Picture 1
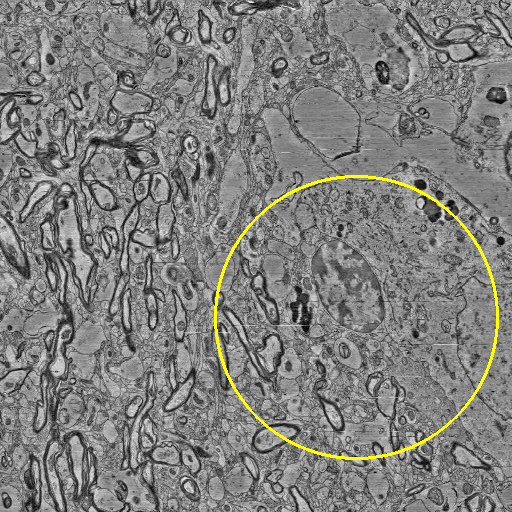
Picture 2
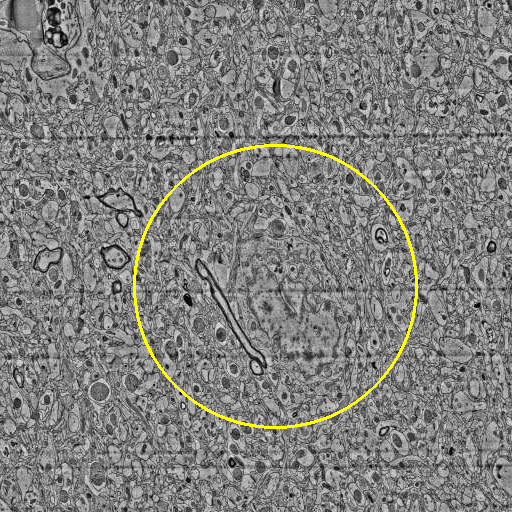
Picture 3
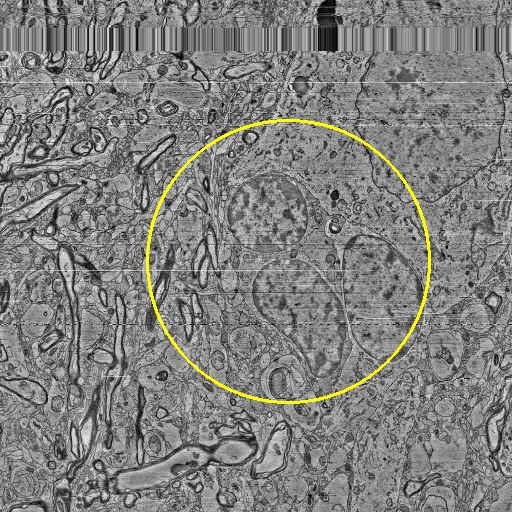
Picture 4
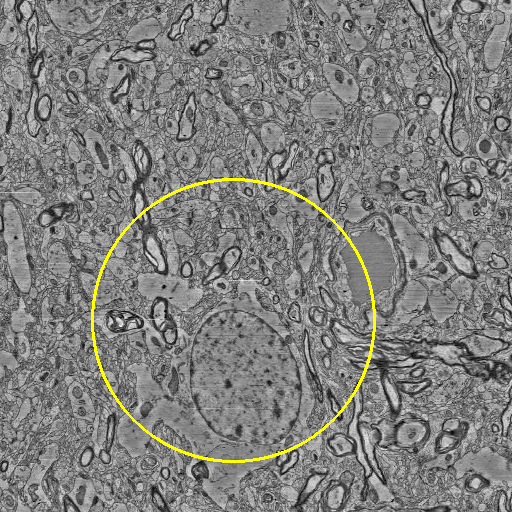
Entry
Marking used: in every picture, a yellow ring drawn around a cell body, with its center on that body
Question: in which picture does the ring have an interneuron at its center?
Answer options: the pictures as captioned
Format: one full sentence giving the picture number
Picture 2 is where the ring's center falls on the requested cell.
